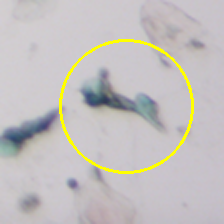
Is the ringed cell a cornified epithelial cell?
Yes, it is a cornified epithelial cell.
